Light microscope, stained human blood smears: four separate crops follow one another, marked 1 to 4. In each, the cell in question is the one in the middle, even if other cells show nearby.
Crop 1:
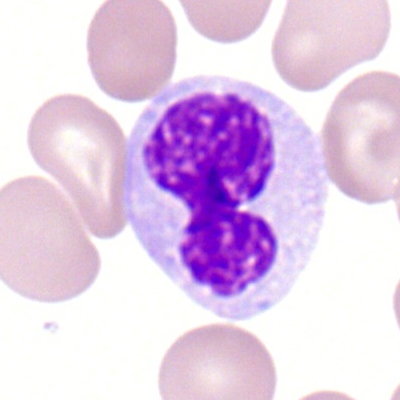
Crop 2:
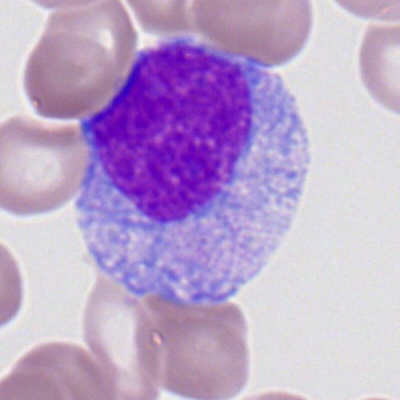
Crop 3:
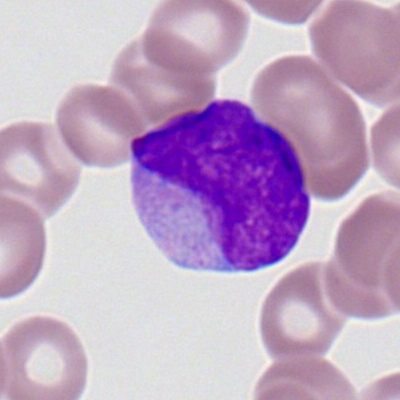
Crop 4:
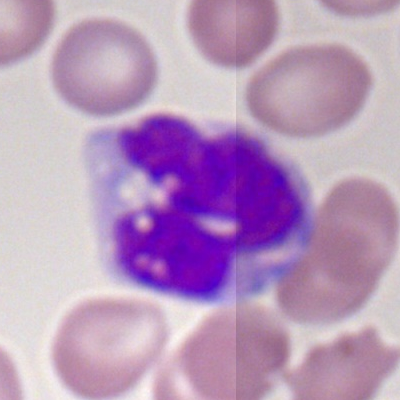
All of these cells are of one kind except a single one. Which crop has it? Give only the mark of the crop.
3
